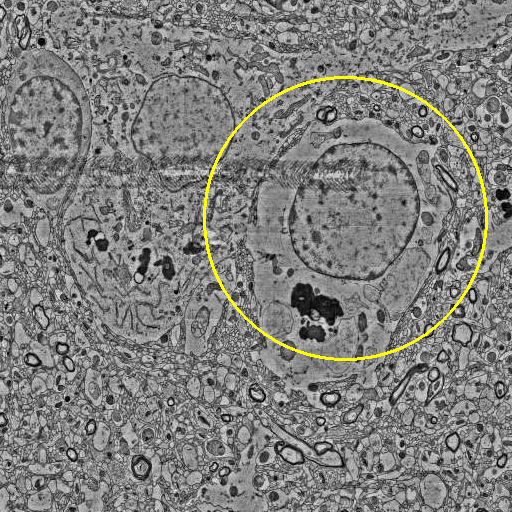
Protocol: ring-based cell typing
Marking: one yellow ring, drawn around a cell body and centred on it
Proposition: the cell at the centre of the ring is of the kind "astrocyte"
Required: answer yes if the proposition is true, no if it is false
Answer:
yes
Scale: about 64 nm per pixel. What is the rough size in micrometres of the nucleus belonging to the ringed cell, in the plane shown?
In this plane, about 9 micrometres in length and 8 in width.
